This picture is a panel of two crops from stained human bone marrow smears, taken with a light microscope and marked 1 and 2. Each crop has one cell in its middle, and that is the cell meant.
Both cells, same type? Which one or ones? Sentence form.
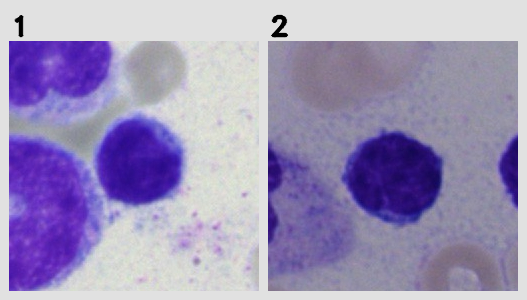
Yes, lymphocytes are the cells in the middle of both crops.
